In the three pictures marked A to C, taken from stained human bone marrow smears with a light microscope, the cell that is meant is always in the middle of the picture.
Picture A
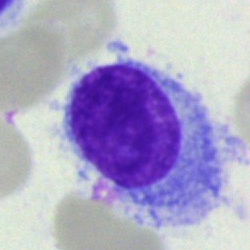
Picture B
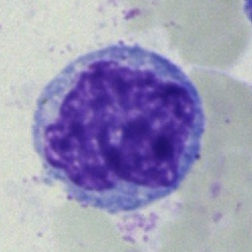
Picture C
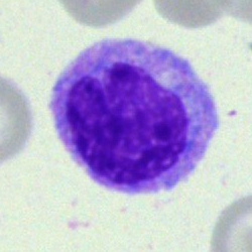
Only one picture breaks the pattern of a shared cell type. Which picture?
A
